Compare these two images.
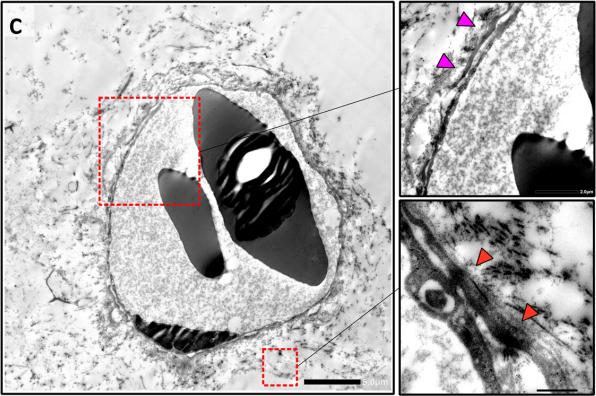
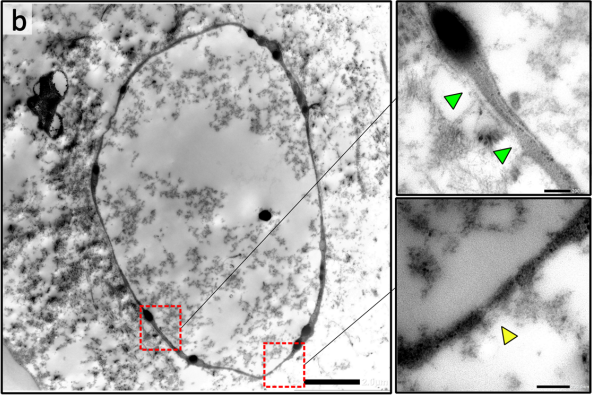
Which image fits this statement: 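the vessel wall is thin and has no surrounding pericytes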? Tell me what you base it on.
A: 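First image: the vessel wall is thick and layered, with elongated cells wrapped around it. Second image: the vessel is bounded by a single very thin line of cytoplasm with no cells wrapped around it. So: the second image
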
